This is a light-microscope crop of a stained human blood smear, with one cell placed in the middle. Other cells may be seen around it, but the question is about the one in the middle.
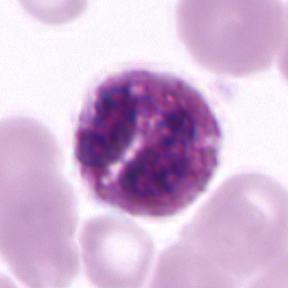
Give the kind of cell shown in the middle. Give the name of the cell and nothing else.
eosinophil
